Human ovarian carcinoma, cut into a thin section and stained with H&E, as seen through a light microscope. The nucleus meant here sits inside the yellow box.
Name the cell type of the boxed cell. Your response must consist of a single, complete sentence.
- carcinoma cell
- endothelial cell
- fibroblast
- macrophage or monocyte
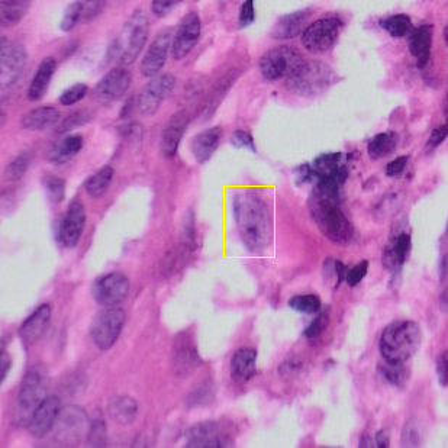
Just put down that the boxed cell is a macrophage or monocyte.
